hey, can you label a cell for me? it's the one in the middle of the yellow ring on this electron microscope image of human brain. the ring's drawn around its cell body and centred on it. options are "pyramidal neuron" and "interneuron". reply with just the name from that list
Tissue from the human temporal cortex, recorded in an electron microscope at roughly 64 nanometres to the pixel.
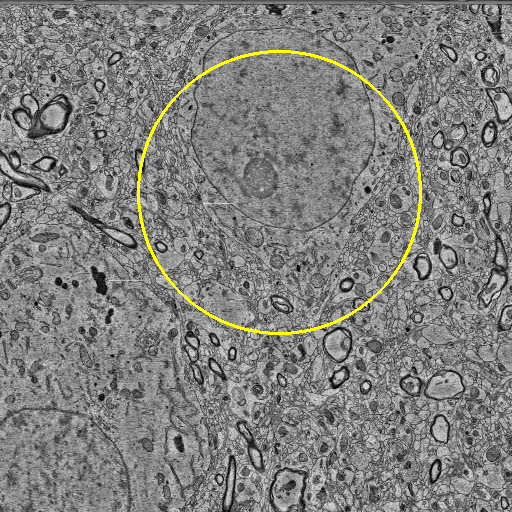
pyramidal neuron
